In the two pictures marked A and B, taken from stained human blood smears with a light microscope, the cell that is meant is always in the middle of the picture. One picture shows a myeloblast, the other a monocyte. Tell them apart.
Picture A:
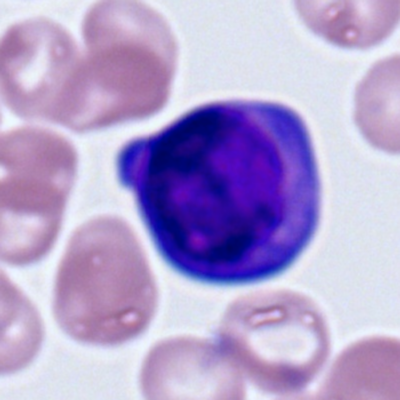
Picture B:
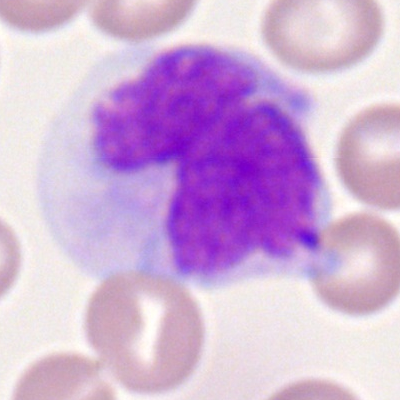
A: myeloblast
B: monocyte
